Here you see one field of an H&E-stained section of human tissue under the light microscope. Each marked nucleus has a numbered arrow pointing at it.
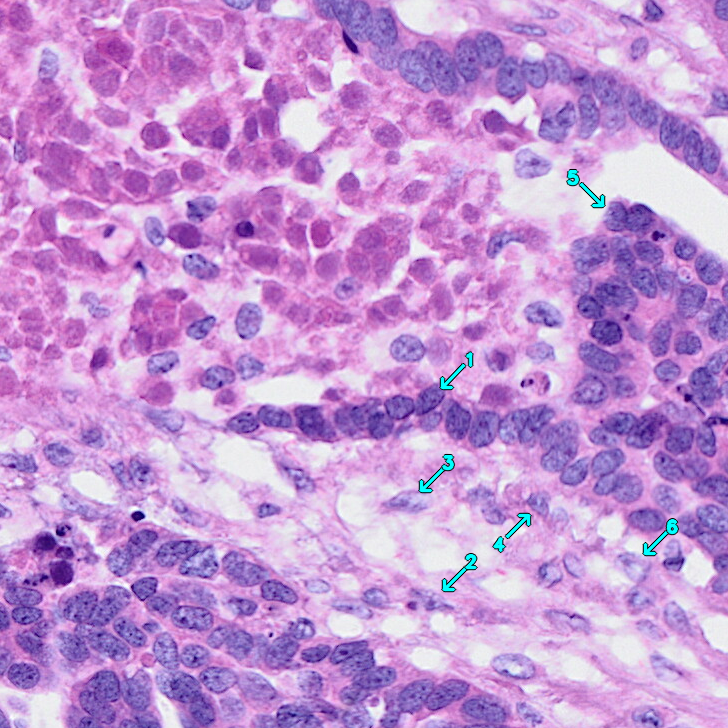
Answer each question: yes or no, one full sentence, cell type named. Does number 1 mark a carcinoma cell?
Yes, the cell that bears number 1 is a carcinoma cell.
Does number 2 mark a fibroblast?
Yes, in this section the cell numbered 2 is a fibroblast.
